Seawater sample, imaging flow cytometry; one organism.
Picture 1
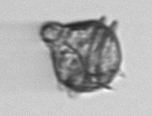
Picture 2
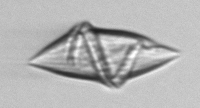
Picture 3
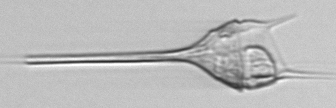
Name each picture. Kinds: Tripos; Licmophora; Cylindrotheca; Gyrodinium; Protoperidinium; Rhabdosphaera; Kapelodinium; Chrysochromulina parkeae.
1: Protoperidinium
2: Gyrodinium
3: Tripos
